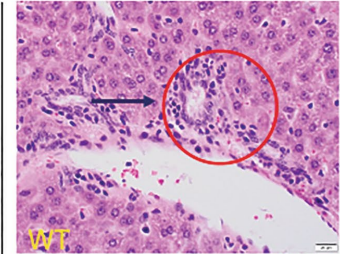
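This is liver around a portal area, with hepatocytes arranged in plates: large polygonal cells with pink cytoplasm and round central nuclei. In the middle sits a small bile duct lined by a single layer of cuboidal cells around a clear lumen. The duct is surrounded by a dense collar of small cells with dark round nuclei and little cytoplasm, an inflammatory infiltrate that stands out against the pale hepatocytes. A large vessel runs along the lower part of the field.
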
